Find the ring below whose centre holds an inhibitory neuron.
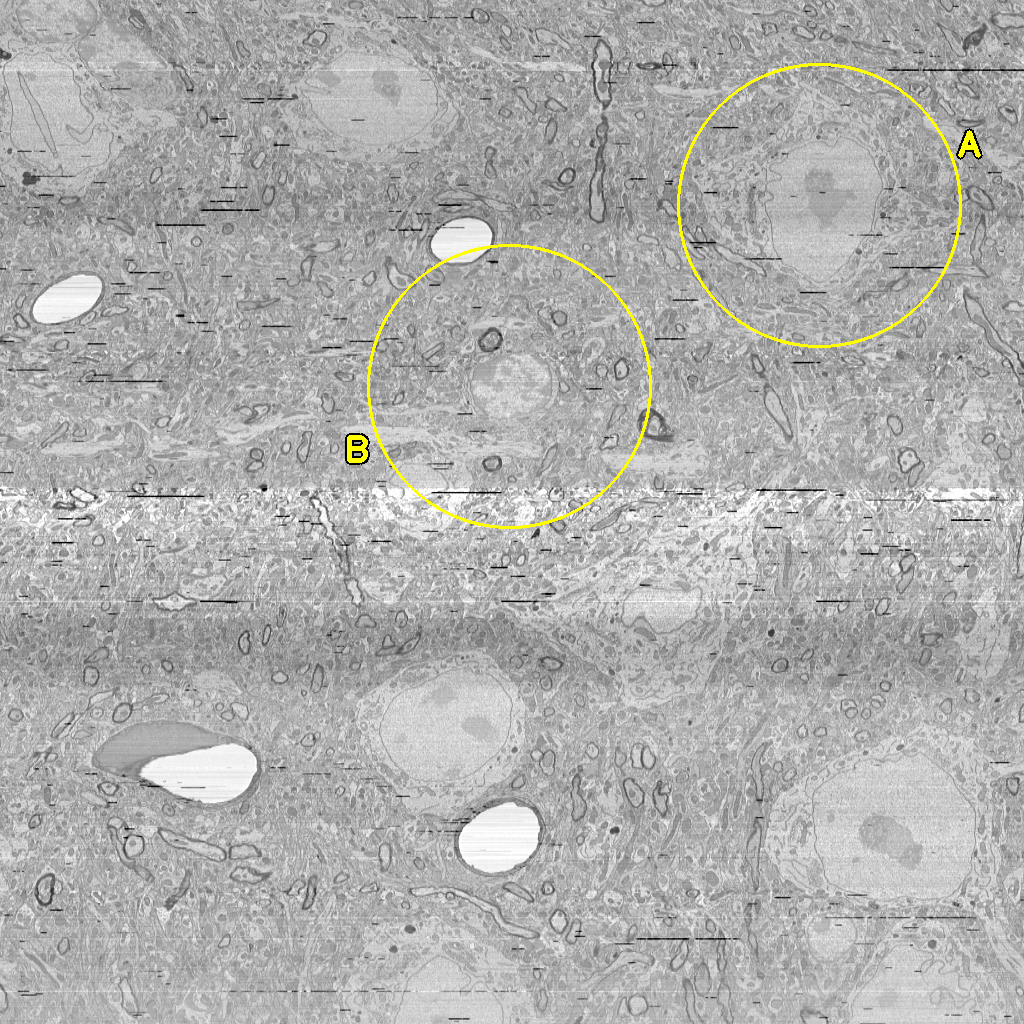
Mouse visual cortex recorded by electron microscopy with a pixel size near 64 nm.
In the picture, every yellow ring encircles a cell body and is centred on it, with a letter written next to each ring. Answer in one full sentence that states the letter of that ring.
The ring centred on the cell asked for in the picture carries the letter A.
